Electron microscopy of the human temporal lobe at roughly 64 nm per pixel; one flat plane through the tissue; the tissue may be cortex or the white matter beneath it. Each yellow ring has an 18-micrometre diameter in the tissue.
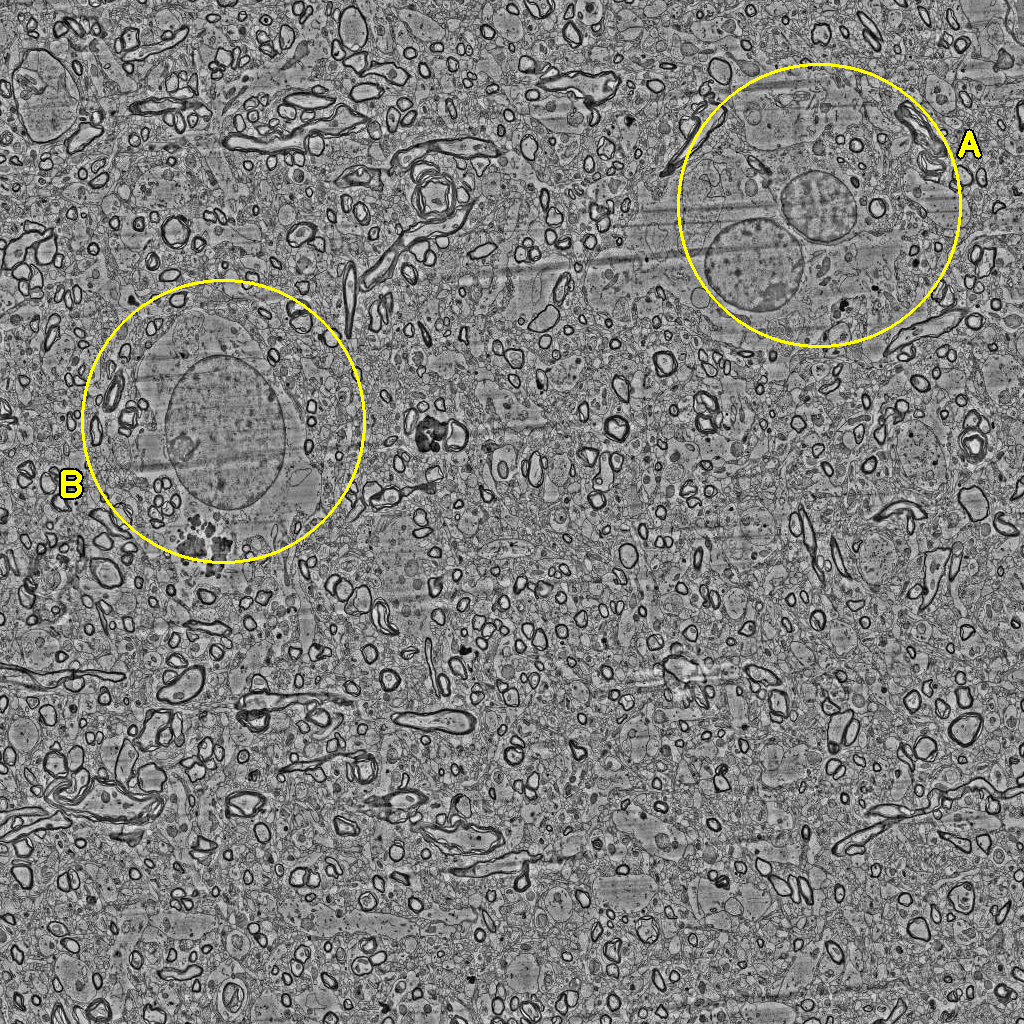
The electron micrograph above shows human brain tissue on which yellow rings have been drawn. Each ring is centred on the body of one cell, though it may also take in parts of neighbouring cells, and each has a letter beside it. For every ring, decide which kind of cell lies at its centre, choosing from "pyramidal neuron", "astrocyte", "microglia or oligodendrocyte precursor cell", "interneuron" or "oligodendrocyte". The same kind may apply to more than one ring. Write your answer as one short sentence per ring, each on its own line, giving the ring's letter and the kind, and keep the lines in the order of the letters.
Ring A is centred on an oligodendrocyte.
Ring B is centred on an astrocyte.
